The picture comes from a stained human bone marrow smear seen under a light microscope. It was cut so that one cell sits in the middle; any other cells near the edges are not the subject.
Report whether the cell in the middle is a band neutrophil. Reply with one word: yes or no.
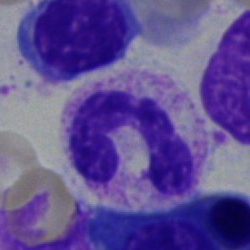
yes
